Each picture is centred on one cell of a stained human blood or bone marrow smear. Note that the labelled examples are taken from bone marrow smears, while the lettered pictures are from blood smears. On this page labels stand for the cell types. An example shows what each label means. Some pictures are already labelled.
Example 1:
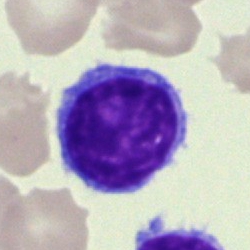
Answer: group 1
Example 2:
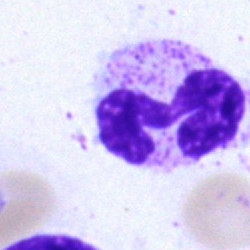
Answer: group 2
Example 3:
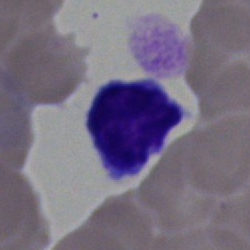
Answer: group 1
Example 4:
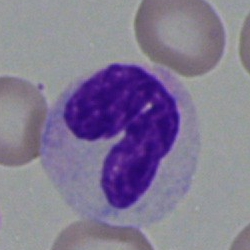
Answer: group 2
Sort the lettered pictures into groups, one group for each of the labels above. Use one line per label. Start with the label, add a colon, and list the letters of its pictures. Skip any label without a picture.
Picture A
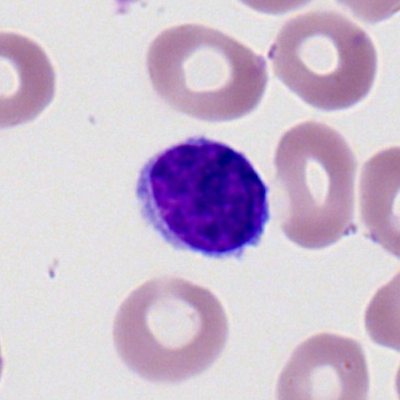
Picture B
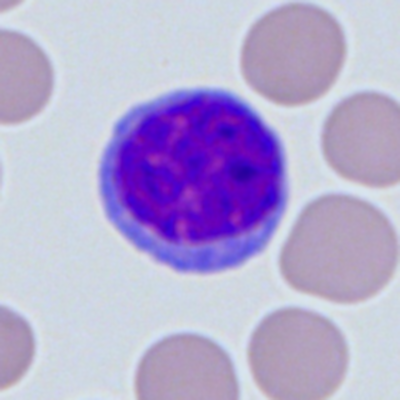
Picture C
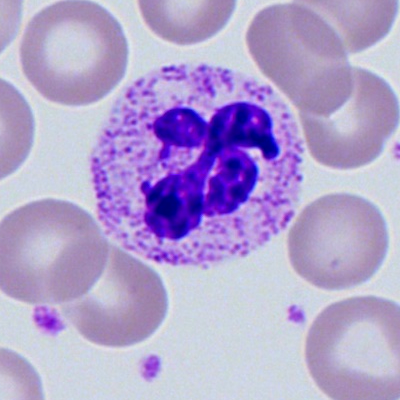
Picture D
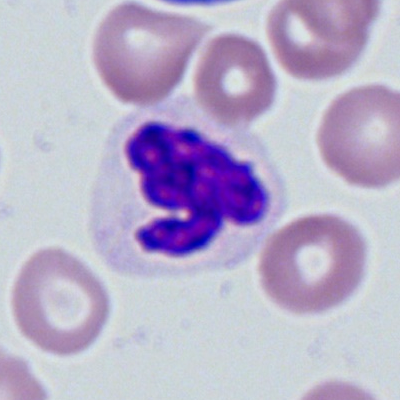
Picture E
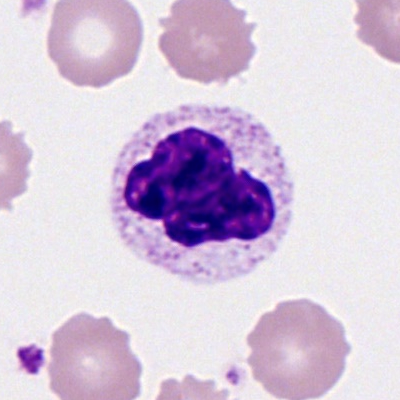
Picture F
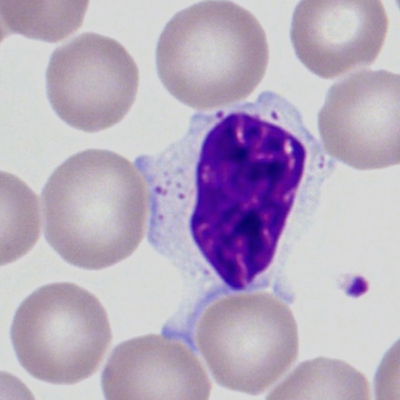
group 1: A, B, F
group 2: C, D, E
